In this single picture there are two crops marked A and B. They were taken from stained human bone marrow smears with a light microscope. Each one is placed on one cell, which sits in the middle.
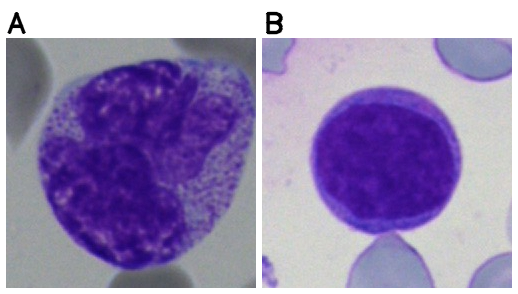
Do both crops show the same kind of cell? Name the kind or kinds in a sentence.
No, a monocyte is depicted by crop A, a blast by crop B.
